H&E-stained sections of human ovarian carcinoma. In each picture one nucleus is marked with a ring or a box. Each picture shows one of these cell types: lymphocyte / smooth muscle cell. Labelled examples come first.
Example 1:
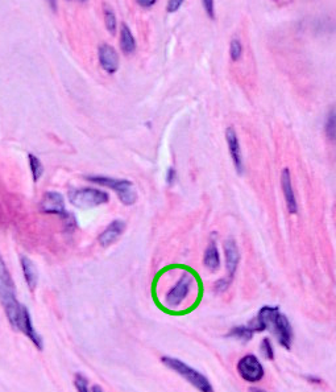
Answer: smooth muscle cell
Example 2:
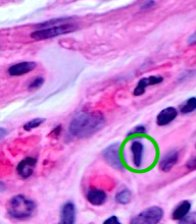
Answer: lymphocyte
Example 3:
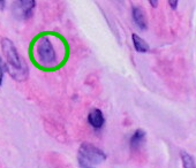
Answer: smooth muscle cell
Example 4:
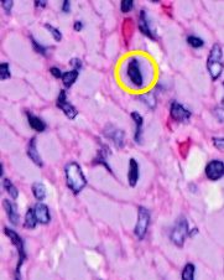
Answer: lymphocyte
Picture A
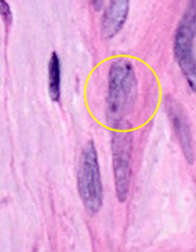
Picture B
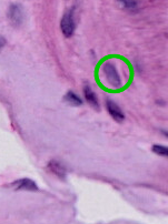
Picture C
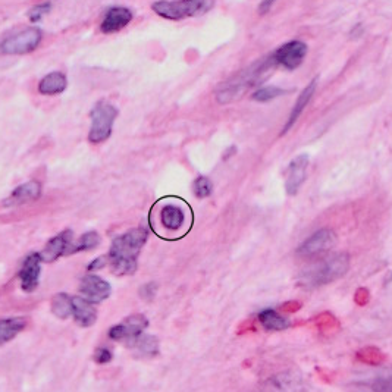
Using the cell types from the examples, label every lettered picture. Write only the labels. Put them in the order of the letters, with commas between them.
smooth muscle cell, smooth muscle cell, lymphocyte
